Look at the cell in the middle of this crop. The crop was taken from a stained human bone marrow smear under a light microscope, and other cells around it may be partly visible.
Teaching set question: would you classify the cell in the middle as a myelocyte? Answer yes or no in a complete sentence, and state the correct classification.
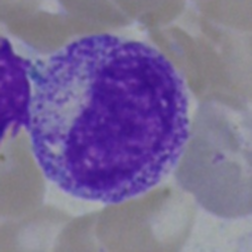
Yes, the cell in the middle has the identity of a myelocyte.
